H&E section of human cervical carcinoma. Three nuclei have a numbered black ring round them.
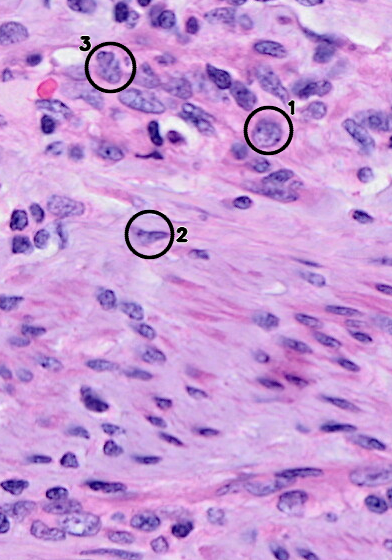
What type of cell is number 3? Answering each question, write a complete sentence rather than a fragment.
Belonging to an endothelial cell is the nucleus that carries the number 3.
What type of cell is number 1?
The identity of cell 1 is that of an endothelial cell.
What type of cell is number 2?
The cell pointed out as number 2 is a fibroblast.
